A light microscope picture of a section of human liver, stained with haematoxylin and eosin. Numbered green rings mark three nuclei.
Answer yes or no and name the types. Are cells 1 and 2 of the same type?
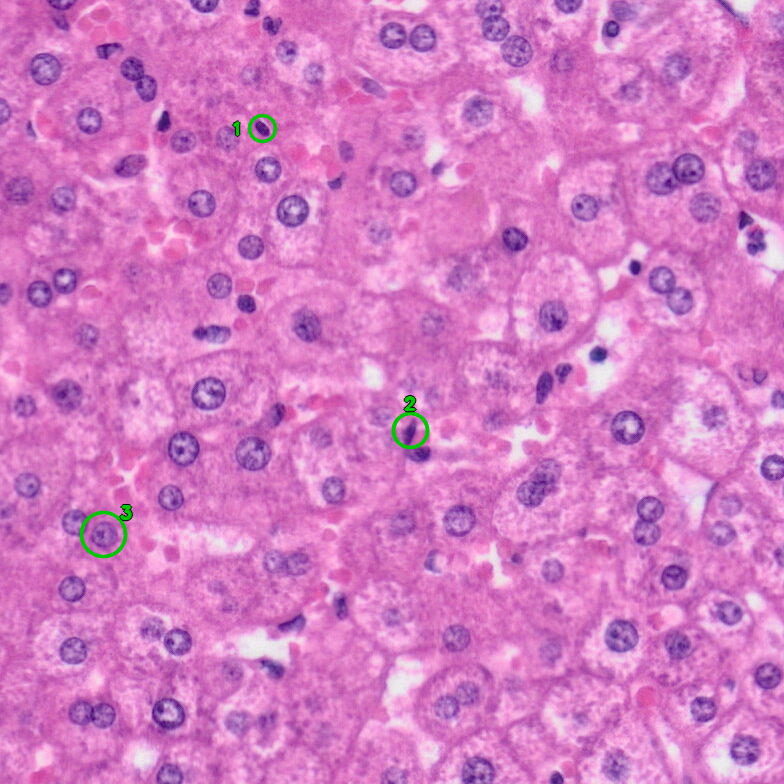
Yes, cells 1 and 2 are both to be classed as fibroblasts or stellate cells.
